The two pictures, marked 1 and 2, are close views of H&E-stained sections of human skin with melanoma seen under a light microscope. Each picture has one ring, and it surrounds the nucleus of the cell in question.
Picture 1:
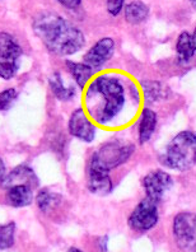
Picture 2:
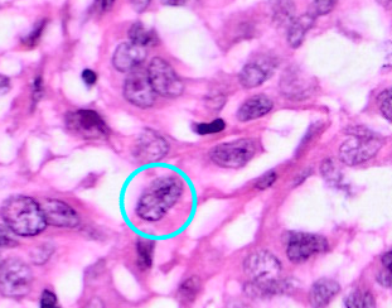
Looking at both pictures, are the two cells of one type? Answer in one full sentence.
Yes, both cells are melanoma cells.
